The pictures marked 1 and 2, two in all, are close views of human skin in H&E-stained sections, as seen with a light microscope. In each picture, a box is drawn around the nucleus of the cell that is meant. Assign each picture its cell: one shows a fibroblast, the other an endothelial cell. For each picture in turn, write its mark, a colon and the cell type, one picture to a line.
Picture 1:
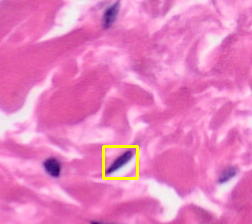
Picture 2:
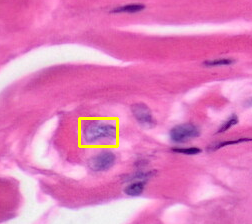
1: fibroblast
2: endothelial cell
